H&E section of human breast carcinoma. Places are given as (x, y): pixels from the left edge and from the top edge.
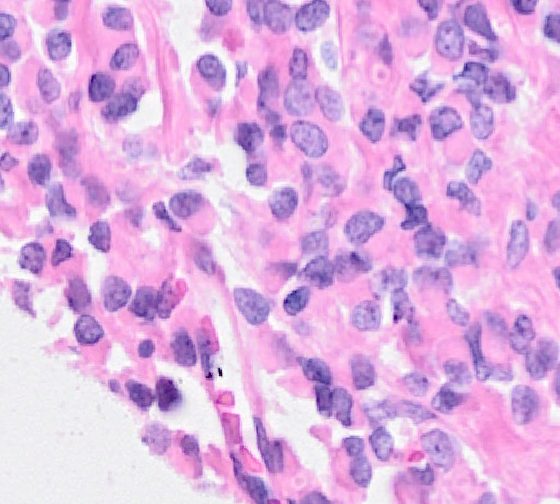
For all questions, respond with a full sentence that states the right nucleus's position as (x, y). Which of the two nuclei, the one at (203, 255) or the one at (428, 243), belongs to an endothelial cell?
The pair contains one nucleus of an endothelial cell, namely the one at (203, 255).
